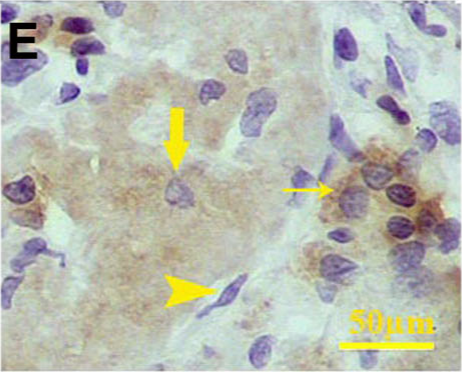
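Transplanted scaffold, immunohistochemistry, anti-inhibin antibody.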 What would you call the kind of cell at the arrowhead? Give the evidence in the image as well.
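The arrowhead marks a cell with an elongated, spindle-shaped nucleus. The marked cell is unstained brown.
Answer: myoid-like cells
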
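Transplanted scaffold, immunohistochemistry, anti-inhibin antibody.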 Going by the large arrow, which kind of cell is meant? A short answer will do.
sertoli-like cells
